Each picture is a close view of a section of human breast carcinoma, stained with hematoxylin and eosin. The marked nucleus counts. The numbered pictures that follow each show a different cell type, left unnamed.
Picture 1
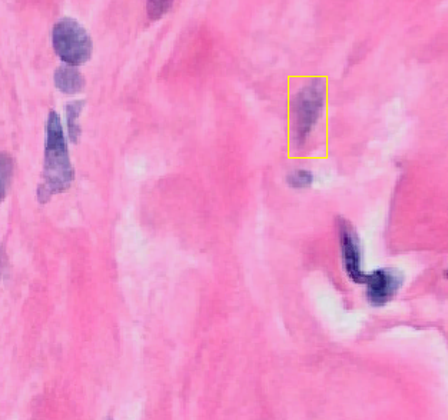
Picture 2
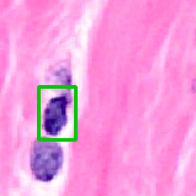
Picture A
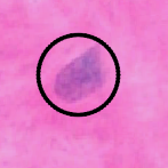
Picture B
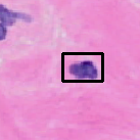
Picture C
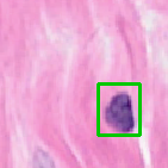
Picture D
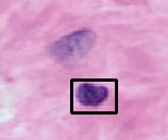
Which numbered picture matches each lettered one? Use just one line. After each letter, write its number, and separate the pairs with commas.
A 1, B 2, C 2, D 2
